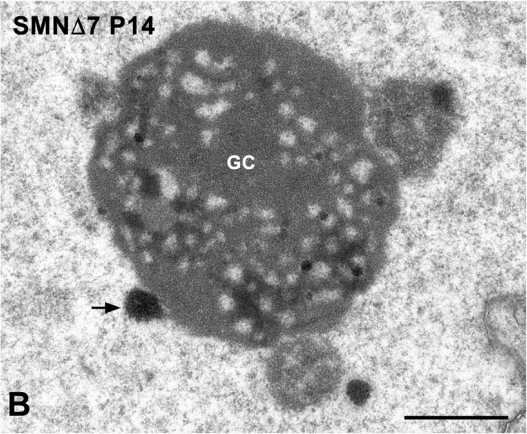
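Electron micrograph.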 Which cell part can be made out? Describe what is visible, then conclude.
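A large rounded dense body lies within a finely granular nucleoplasm. The dense body is riddled with small pale spaces. Smaller dense masses cling to its surface. On this evidence: Nucleoli.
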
